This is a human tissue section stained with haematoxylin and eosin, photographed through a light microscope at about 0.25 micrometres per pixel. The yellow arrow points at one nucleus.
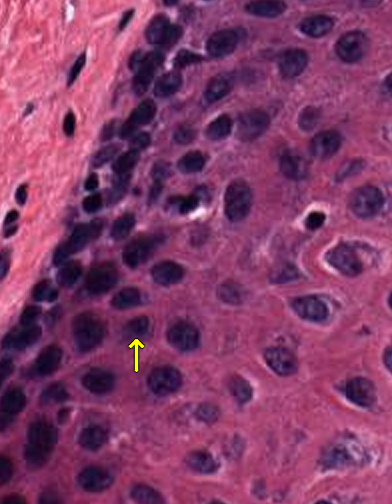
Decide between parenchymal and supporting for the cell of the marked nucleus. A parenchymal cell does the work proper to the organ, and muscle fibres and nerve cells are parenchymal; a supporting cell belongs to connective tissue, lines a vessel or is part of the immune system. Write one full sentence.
The marked nucleus is the nucleus of a parenchymal cell, that is, a squamous epithelial cell.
